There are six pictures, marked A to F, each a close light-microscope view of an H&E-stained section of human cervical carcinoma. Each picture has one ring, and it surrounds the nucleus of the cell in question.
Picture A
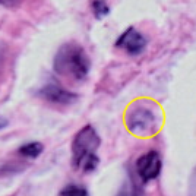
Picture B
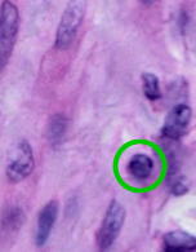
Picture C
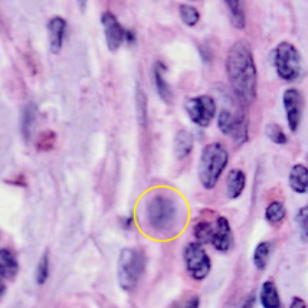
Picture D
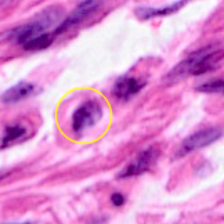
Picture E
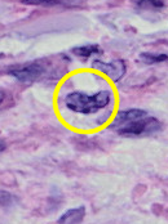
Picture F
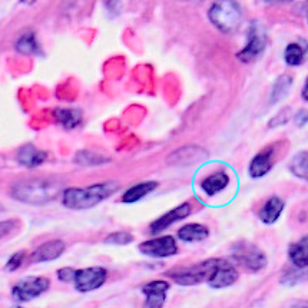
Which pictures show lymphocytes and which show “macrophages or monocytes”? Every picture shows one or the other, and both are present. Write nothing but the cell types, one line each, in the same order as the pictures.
macrophage or monocyte
lymphocyte
macrophage or monocyte
macrophage or monocyte
lymphocyte
lymphocyte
